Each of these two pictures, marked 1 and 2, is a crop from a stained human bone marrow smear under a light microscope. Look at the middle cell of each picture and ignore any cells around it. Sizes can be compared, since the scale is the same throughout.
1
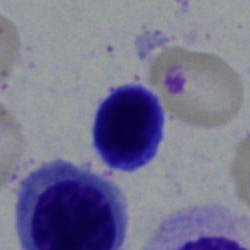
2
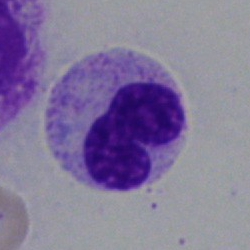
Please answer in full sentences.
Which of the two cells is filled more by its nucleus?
It is the cell in crop 1 that is filled more by its nucleus.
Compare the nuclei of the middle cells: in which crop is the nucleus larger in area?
Larger is the nucleus in crop 2, at roughly 2 times the area of the other.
